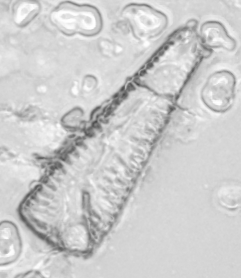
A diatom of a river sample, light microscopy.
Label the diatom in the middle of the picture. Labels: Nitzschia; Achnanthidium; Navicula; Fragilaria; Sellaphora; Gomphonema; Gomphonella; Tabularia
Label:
Gomphonella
